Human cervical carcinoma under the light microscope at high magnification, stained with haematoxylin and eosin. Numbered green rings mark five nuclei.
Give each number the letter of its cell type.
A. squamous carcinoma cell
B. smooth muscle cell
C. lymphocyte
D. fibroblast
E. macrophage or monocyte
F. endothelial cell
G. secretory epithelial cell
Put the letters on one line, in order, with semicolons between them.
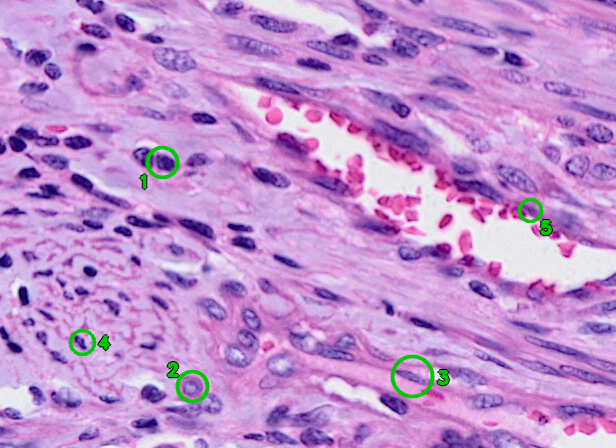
C; B; F; B; F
